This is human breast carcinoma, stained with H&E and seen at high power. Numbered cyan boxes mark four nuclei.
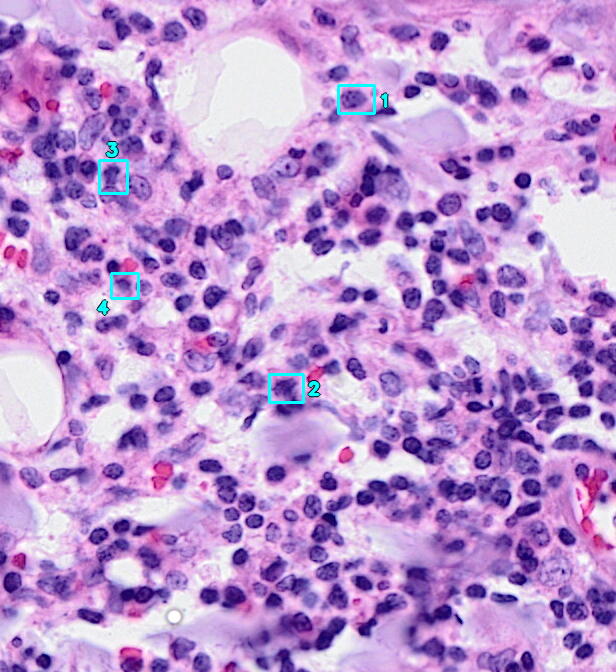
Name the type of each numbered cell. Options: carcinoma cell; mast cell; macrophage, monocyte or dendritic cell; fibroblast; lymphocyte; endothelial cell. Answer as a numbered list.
1. mast cell
2. lymphocyte
3. lymphocyte
4. lymphocyte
